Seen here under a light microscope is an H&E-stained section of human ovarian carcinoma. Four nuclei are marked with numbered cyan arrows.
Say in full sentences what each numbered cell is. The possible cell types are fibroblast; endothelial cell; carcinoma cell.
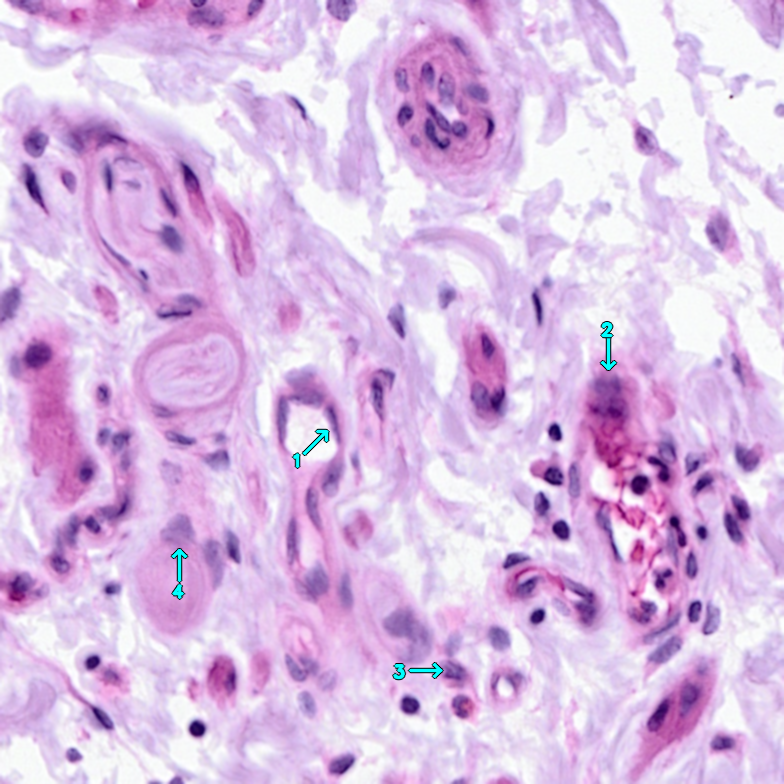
Cells 1, 2 and 3 are endothelial cells. Cell 4 is a fibroblast.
